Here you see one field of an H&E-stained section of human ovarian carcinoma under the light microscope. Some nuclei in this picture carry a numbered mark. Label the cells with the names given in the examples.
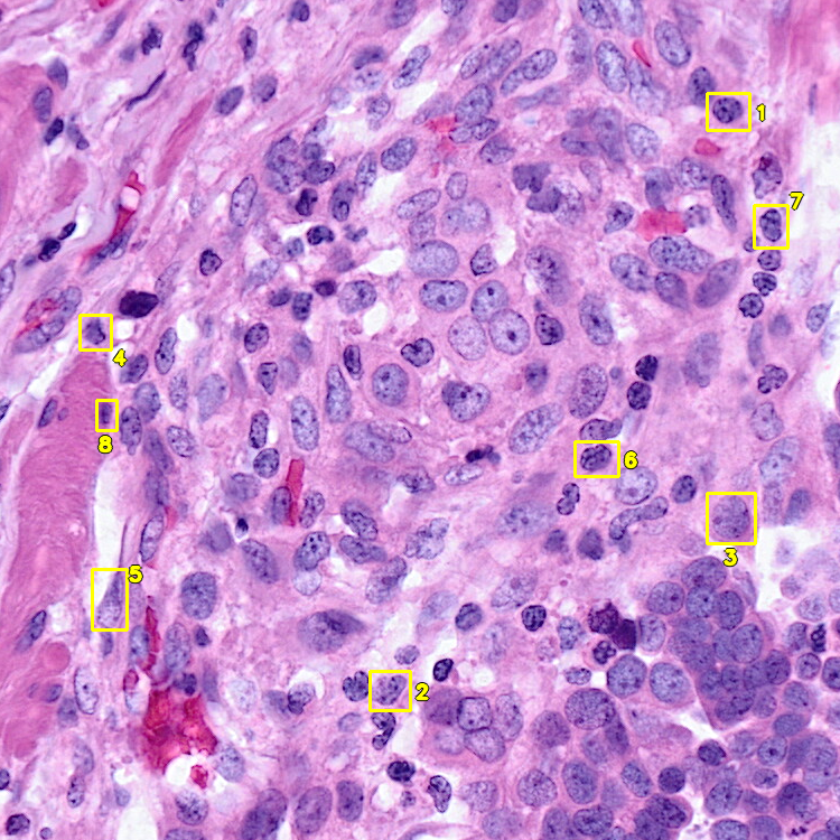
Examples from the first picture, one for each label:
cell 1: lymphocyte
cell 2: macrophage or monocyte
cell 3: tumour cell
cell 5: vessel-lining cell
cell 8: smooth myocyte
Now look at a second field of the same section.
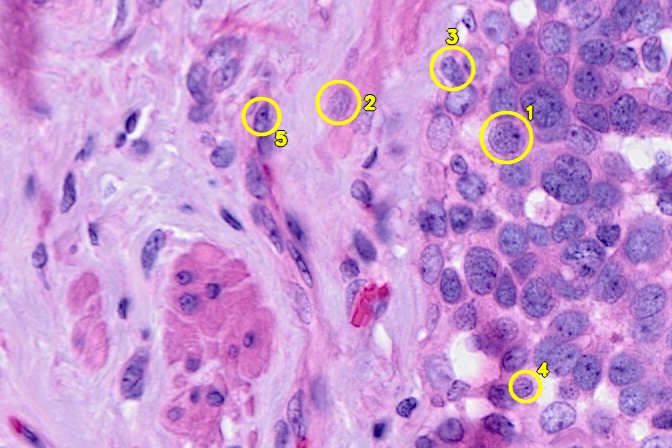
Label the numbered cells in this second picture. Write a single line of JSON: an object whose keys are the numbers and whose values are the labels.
{"1": "tumour cell", "2": "smooth myocyte", "3": "macrophage or monocyte", "4": "macrophage or monocyte", "5": "vessel-lining cell"}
